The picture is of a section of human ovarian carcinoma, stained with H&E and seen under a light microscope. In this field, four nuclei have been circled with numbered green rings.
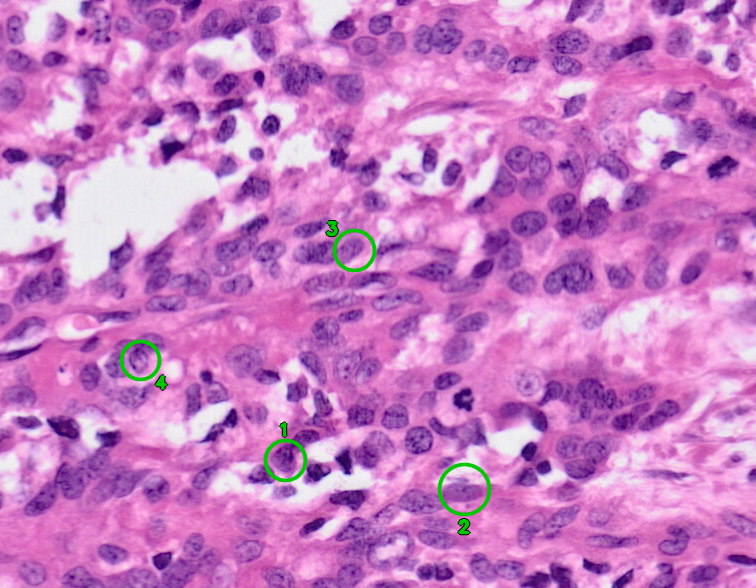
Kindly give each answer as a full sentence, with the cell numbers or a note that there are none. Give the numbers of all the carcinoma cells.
The cells labelled 1, 2 and 3 in this section are carcinoma cells.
